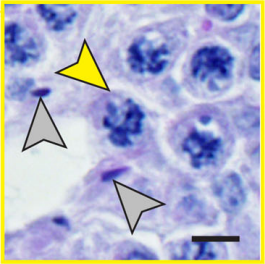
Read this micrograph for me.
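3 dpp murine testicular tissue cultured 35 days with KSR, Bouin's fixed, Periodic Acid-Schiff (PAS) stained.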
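Large round cells carry nuclei filled with thick, dark blue clumped chromatin threads, typical of pachytene spermatocytes, set in pale lilac cytoplasm. Between them lie small, narrow, darkly stained elongated nuclei of elongated spermatids.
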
